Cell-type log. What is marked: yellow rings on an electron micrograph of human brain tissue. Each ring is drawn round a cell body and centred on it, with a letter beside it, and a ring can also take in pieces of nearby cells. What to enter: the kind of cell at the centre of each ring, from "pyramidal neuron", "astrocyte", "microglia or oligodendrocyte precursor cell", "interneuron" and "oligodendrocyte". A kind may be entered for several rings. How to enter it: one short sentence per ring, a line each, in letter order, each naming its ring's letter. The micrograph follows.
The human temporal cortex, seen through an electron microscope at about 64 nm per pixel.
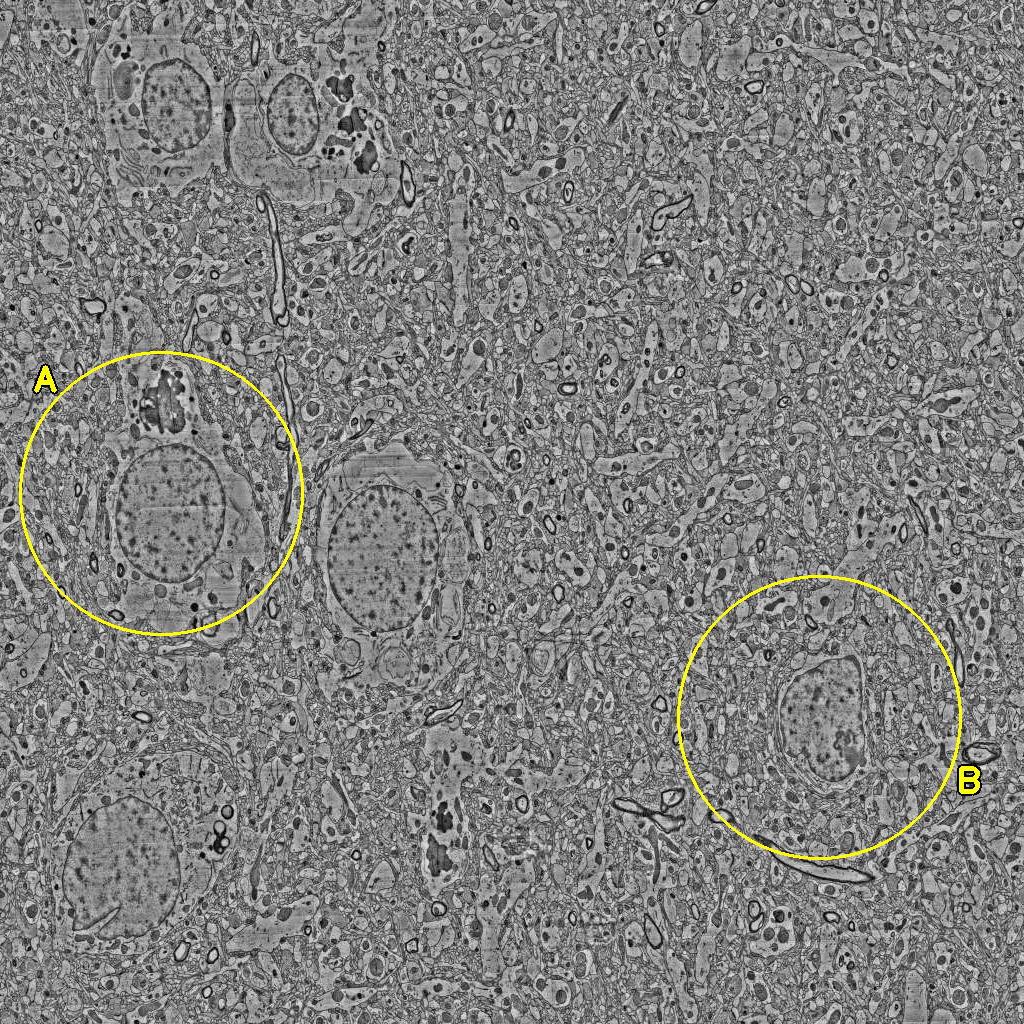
For ring A, the centre cell is an astrocyte.
For ring B, the centre cell is a microglial cell or oligodendrocyte precursor cell.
